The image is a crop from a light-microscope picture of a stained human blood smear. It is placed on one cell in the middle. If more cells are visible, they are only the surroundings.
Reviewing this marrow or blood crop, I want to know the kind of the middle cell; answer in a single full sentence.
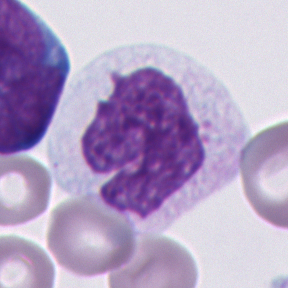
Centred in the crop is a band neutrophil.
